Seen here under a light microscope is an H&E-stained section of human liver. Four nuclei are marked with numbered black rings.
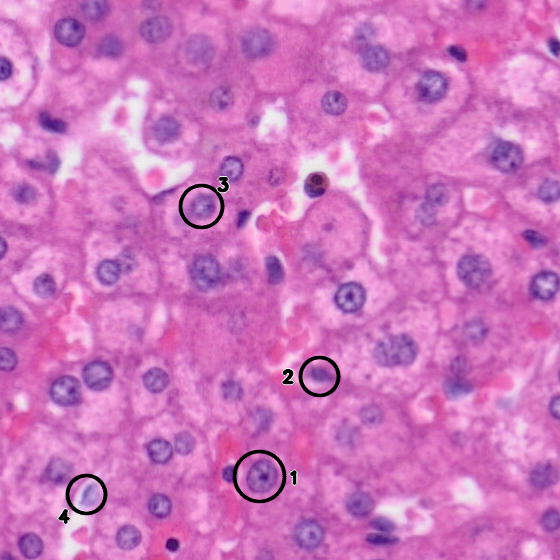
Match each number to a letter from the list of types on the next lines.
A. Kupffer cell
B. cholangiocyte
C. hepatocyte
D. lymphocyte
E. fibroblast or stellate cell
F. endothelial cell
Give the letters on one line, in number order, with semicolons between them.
C; A; C; F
